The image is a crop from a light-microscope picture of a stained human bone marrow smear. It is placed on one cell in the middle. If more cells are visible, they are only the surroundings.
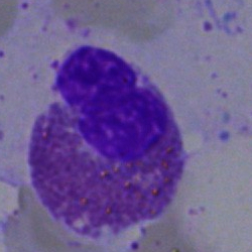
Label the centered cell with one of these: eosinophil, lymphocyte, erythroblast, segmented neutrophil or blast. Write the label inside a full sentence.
The cell around which this crop is centred is an eosinophil.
